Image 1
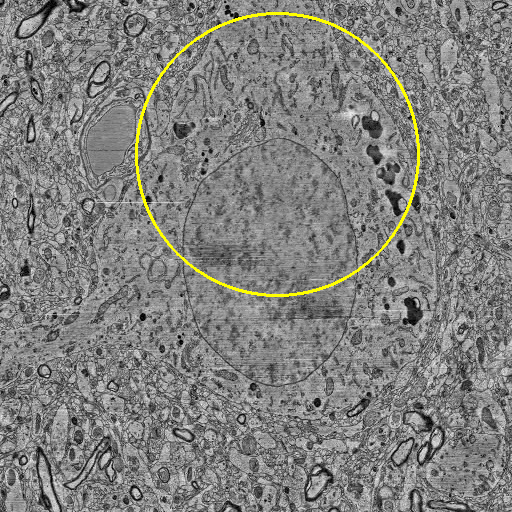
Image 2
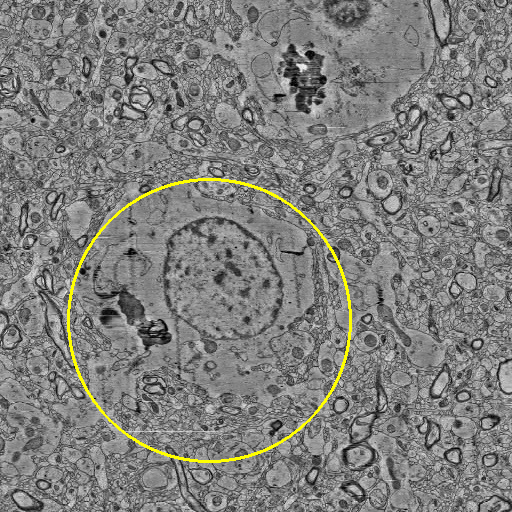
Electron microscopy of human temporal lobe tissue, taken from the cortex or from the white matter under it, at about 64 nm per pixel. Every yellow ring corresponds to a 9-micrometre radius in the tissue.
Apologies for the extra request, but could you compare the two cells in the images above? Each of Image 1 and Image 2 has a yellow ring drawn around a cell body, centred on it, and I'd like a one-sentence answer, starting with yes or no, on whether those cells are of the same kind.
No, the two cells are of two kinds.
